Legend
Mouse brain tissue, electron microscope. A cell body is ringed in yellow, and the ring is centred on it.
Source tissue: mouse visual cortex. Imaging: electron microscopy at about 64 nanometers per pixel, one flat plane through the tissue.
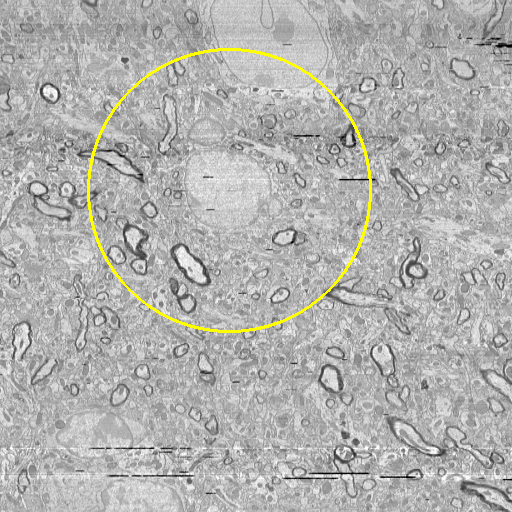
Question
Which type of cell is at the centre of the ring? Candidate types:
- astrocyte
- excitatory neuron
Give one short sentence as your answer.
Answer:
The yellow ring is centred here on an astrocyte.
